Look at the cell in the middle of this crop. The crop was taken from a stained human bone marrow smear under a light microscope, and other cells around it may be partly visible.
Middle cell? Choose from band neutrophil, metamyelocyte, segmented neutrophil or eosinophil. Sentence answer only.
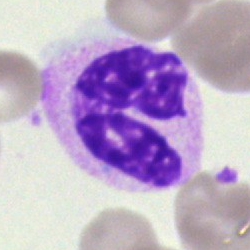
Classified as a segmented neutrophil is the cell in the middle of this crop.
